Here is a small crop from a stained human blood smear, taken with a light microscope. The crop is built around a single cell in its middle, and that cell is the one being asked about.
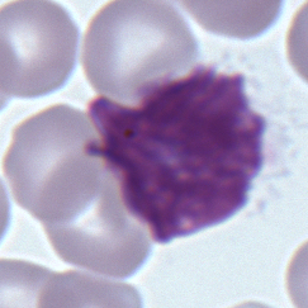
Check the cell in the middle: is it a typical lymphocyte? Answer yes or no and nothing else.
no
